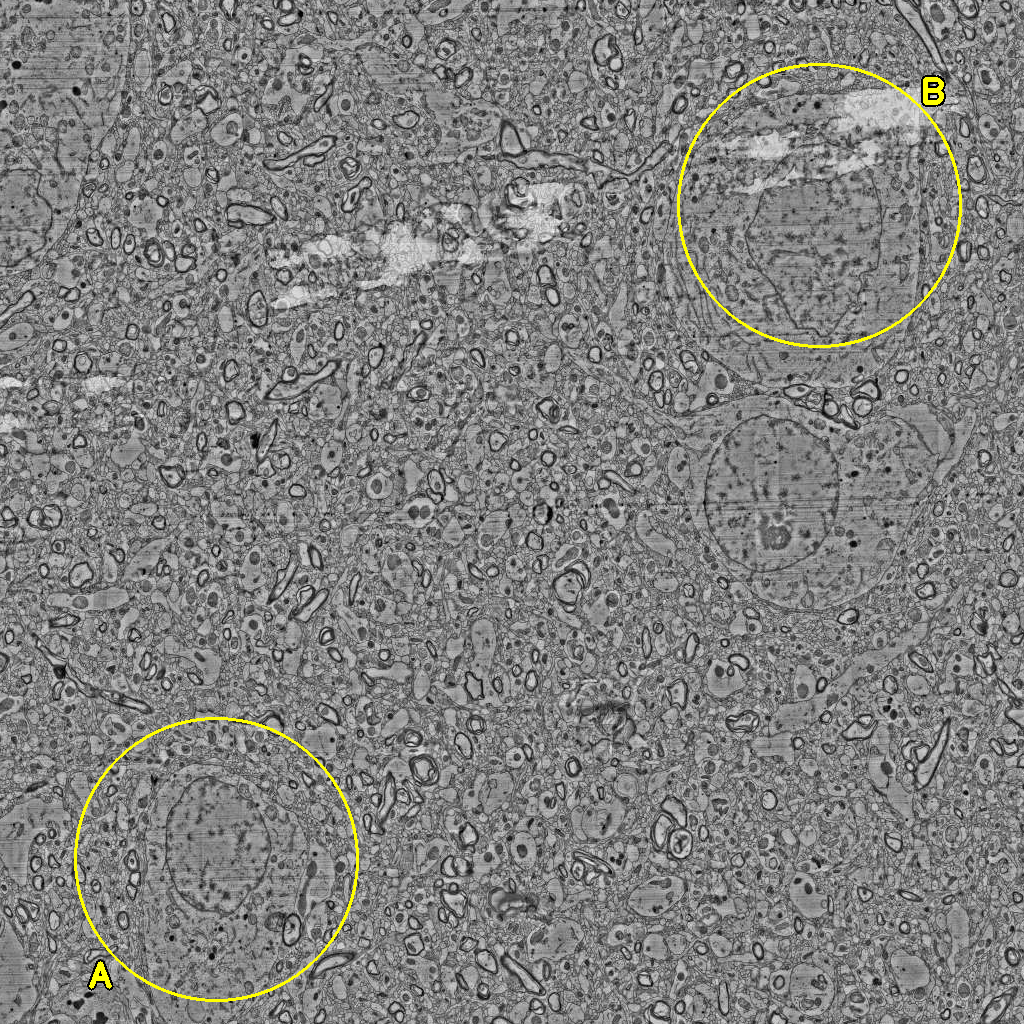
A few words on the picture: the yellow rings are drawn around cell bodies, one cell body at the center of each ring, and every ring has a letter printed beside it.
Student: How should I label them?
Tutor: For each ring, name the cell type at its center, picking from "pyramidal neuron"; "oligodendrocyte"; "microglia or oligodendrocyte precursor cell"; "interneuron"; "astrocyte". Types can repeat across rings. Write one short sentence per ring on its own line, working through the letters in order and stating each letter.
In ring A, the central cell is a pyramidal neuron.
In ring B, the central cell is a pyramidal neuron.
